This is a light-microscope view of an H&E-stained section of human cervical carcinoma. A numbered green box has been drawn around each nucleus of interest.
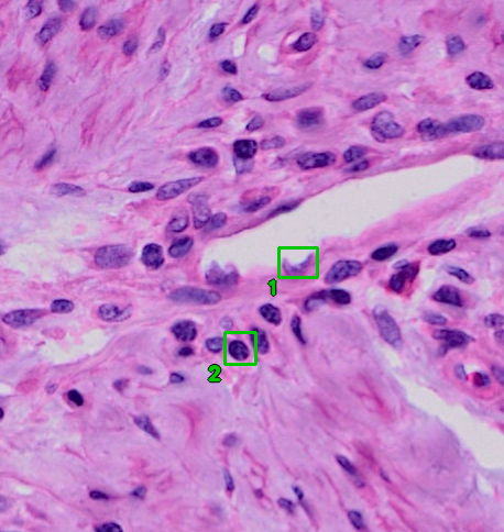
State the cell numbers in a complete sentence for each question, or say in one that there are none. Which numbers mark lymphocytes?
Only cell 2 qualifies as a lymphocyte among the numbered cells.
